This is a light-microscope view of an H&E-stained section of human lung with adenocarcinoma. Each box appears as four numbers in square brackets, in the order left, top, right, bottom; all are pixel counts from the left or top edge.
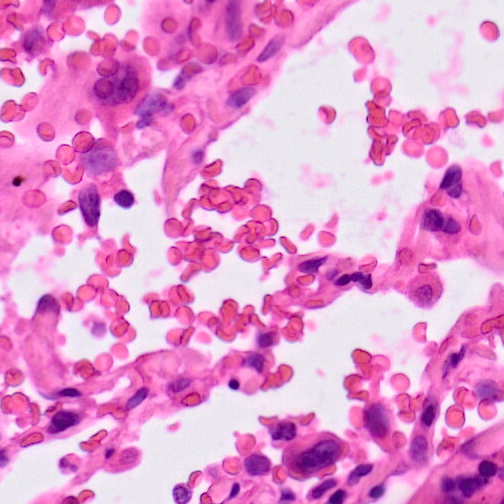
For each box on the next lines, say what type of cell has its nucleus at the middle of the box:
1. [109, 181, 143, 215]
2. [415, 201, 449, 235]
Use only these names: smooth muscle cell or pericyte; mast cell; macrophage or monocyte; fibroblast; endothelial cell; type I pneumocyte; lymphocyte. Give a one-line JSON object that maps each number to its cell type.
{"1": "lymphocyte", "2": "type I pneumocyte"}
